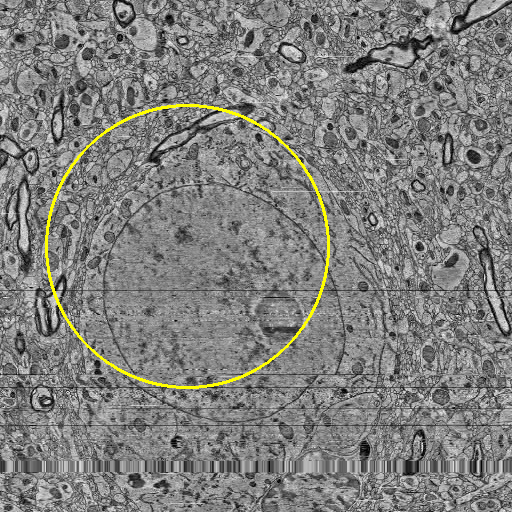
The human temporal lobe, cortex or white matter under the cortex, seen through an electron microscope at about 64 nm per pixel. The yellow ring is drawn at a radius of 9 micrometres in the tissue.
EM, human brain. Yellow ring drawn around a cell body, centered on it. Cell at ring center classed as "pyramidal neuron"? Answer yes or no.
yes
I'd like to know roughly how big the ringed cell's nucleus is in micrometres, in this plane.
About 16 micrometres across in this plane.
